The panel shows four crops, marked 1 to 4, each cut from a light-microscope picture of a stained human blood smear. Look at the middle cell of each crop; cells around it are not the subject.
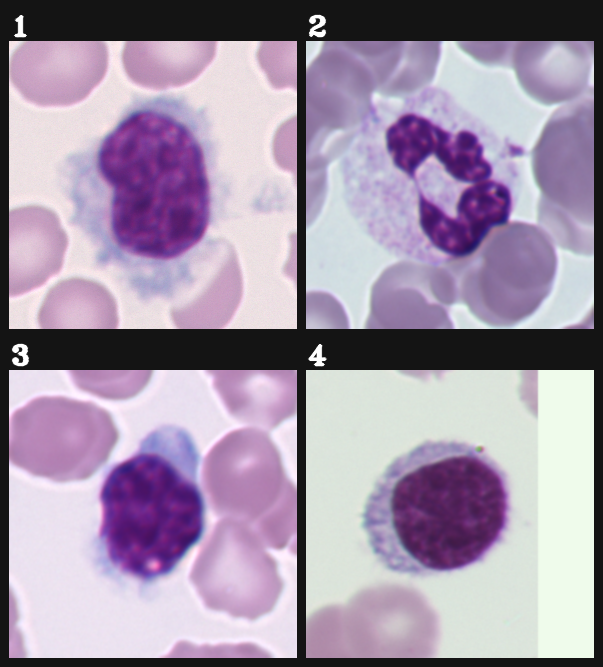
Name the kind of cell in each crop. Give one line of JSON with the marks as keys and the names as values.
{"1": "hairy cell", "2": "segmented neutrophil", "3": "hairy cell", "4": "hairy cell"}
